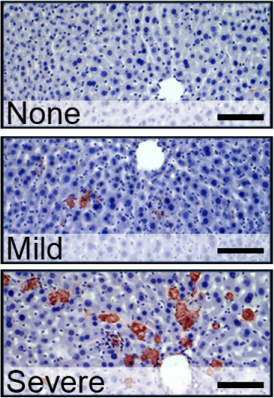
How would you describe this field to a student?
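These are three sections of liver parenchyma, stacked one above the other, each made of closely packed polygonal cells with round blue nuclei and pale cytoplasm, with one round empty vessel lumen in each field. In the middle image a few small red-brown patches lie scattered among the cells. In the bottom image many larger red-brown clumps are spread through the parenchyma, some of them near the vessel.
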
